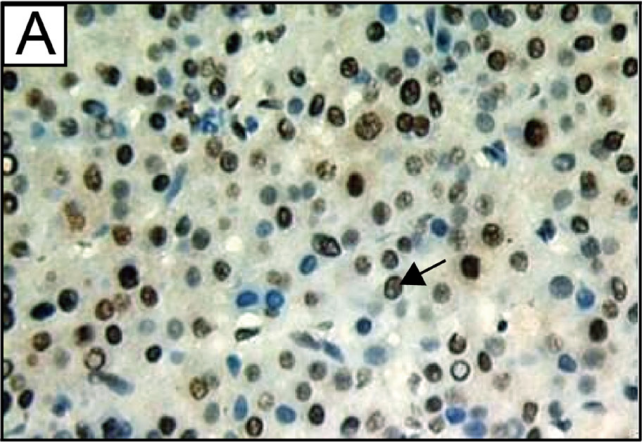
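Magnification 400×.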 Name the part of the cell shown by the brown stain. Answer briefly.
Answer: Nucleus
